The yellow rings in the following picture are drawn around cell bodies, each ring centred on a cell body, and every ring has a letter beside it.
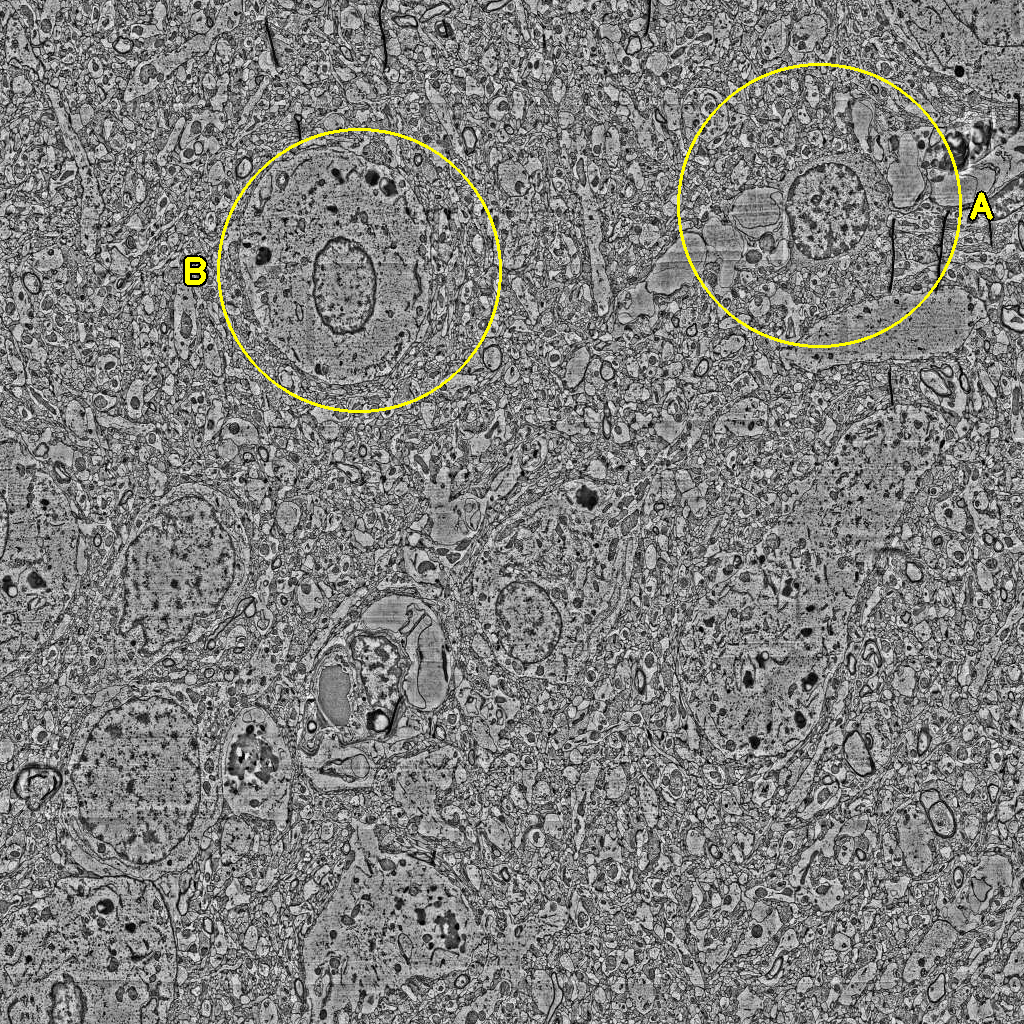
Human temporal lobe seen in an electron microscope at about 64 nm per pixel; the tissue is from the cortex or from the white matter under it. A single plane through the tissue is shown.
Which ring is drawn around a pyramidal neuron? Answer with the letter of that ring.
B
